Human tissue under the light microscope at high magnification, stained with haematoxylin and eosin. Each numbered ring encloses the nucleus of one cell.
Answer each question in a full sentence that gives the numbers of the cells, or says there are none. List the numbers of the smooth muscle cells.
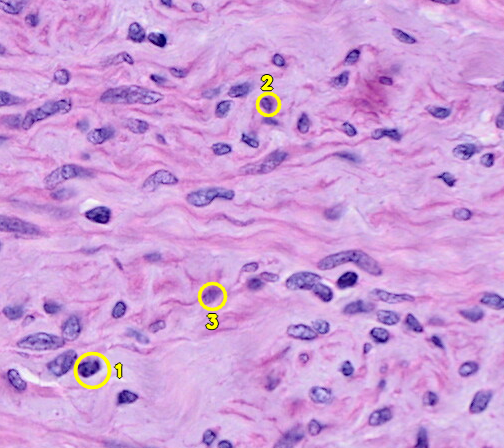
The numbers 2 and 3 mark cells that are smooth muscle cells.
